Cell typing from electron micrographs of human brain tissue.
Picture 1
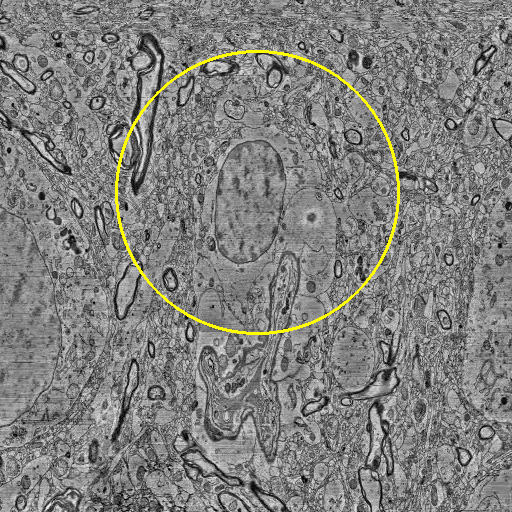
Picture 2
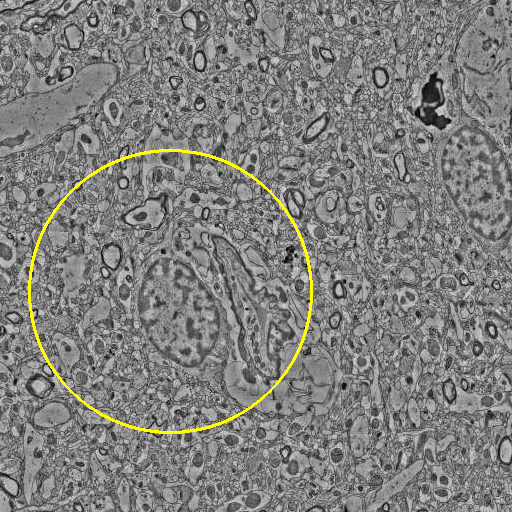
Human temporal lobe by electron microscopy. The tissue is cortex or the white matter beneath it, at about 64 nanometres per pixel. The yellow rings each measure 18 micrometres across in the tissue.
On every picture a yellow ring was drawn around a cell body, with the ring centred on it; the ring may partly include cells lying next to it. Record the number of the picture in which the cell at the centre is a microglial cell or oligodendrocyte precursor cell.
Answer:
1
